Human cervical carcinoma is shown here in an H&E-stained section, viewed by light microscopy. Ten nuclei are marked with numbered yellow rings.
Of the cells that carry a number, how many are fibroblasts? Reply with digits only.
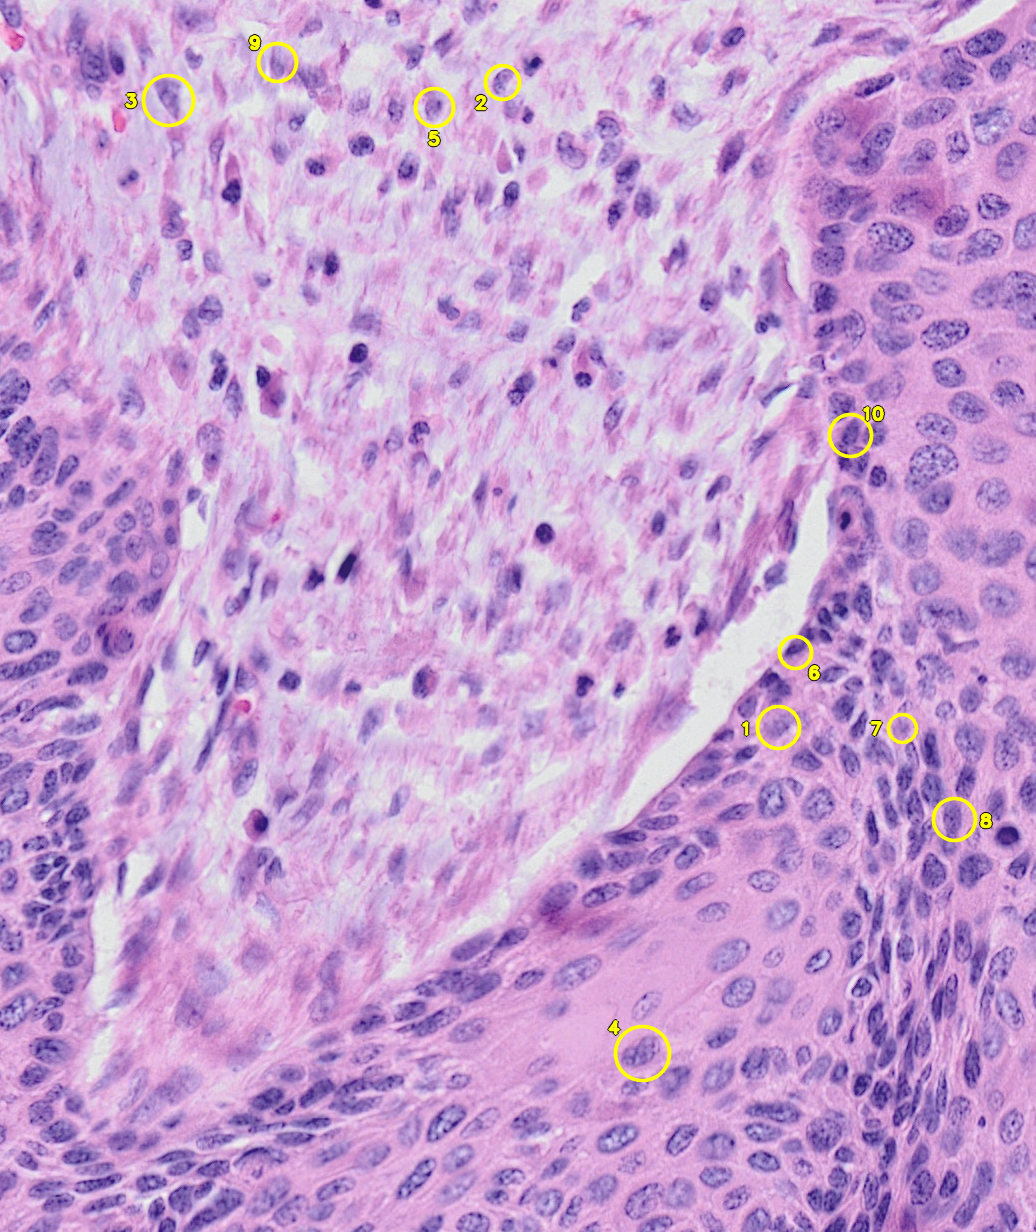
3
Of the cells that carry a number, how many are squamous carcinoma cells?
6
